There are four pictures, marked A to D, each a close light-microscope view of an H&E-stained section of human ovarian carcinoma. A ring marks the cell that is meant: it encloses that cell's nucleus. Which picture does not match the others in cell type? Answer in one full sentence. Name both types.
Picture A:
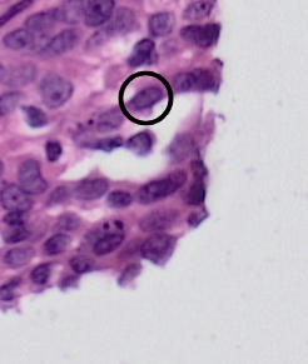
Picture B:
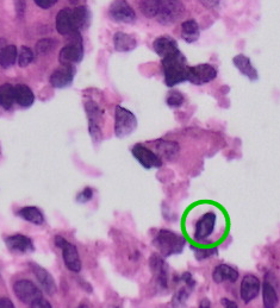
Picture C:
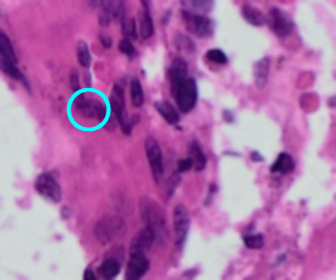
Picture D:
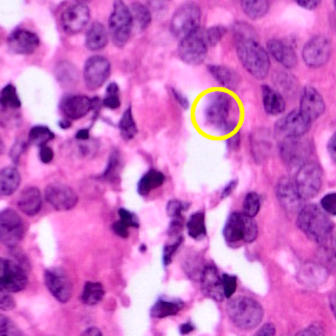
Picture C is the odd one out: it shows an endothelial cell, while the others show carcinoma cells.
